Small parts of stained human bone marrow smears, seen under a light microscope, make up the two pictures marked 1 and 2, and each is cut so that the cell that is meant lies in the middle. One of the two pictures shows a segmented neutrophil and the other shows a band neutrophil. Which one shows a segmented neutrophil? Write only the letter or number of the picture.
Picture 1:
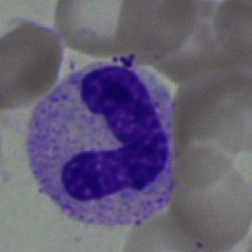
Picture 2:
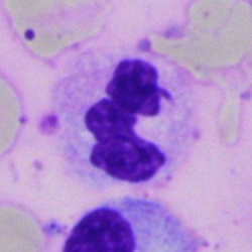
2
